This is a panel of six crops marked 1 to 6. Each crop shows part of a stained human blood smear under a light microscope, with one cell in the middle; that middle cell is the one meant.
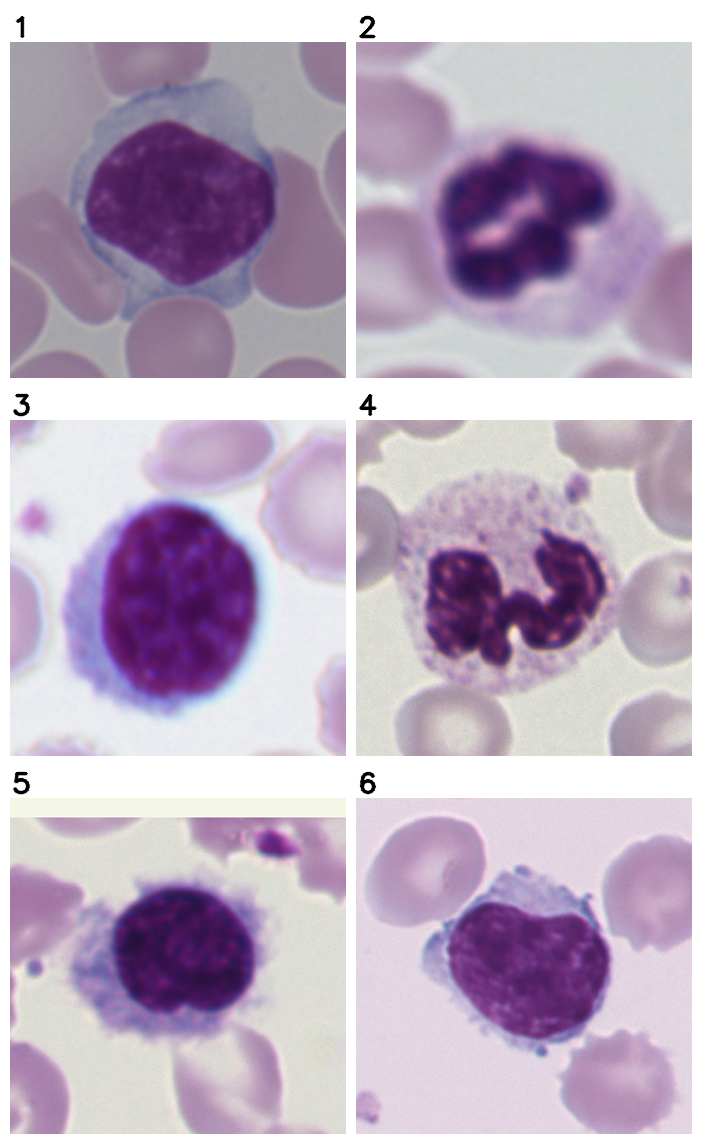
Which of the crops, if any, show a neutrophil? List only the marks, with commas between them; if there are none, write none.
2, 4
